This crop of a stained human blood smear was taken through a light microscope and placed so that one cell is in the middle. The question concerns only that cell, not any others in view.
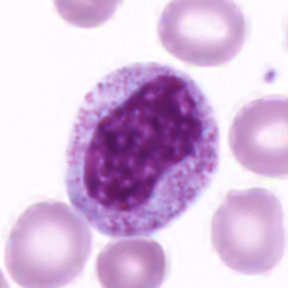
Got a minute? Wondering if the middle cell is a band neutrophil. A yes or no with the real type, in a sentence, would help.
No, the central cell is not a band neutrophil; it is a metamyelocyte.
